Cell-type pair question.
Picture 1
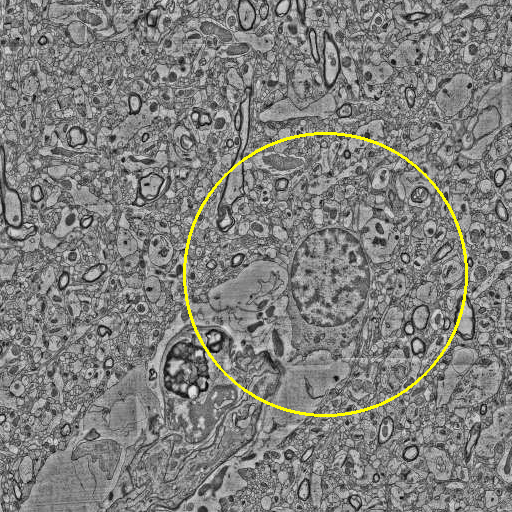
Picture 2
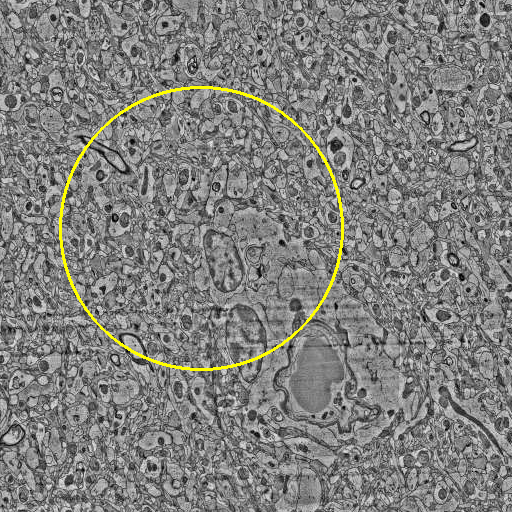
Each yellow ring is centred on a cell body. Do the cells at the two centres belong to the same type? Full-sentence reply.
No, the two cells belong to two types.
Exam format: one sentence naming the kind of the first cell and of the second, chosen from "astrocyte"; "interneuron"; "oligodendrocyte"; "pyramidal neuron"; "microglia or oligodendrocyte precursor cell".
The first picture's cell is an oligodendrocyte, and the second picture's cell is a microglial cell or oligodendrocyte precursor cell.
